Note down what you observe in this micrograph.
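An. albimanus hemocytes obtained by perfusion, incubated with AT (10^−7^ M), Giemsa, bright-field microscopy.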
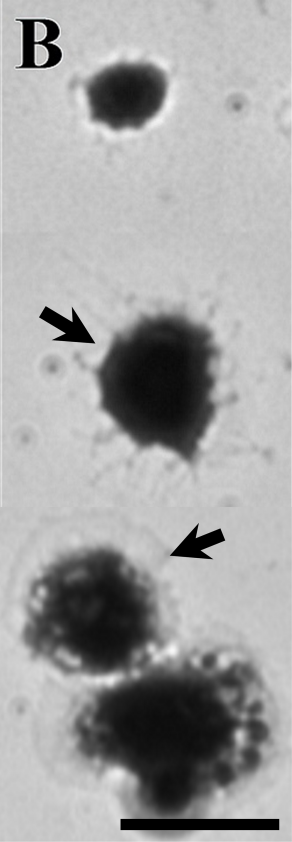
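The upper cell is small, rounded and densely dark with a few short projections at its margin. A larger cell below is round, darkly stained, with many fine thread-like filaments extending outward from its edge. At the bottom two adjacent cells have coarse, granular, dark cytoplasm with paler vacuole-like spots, surrounded by a faint pale rim of flattened cytoplasm extending beyond the dark cell body. Nuclei are not clearly separable from the heavily stained cytoplasm.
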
